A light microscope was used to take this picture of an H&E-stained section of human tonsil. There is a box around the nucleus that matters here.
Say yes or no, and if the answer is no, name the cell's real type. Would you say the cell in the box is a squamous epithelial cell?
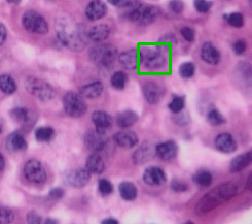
No, it is a plasma cell.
